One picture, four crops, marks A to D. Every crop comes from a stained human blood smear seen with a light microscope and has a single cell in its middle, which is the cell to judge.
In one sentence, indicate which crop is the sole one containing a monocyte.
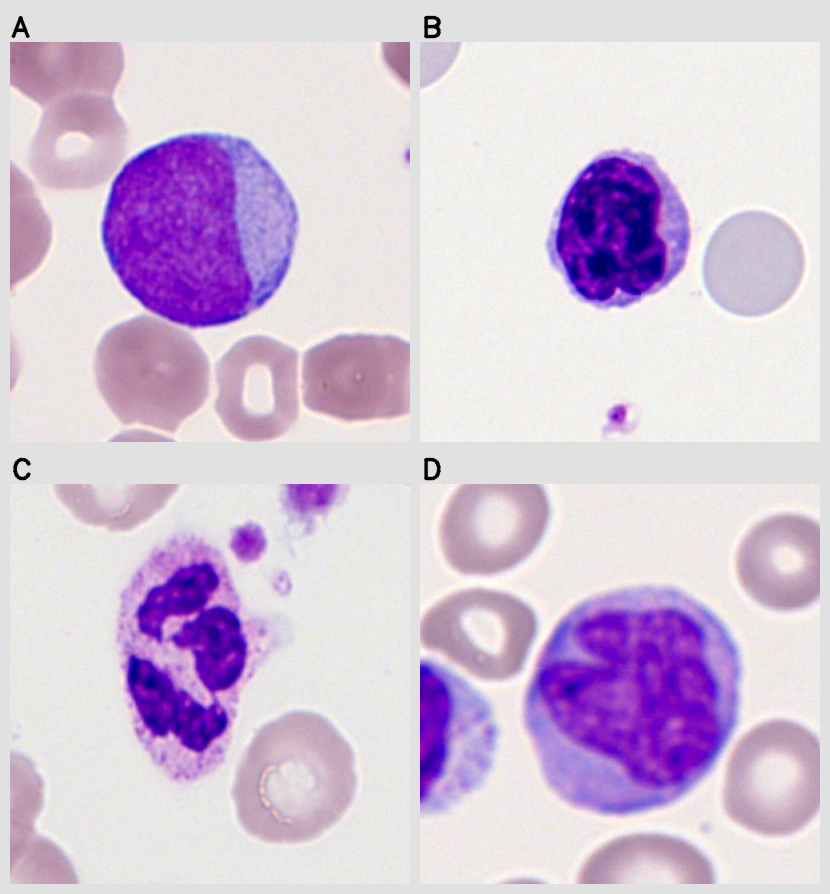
Crop D is the right one; it is the crop showing a monocyte.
